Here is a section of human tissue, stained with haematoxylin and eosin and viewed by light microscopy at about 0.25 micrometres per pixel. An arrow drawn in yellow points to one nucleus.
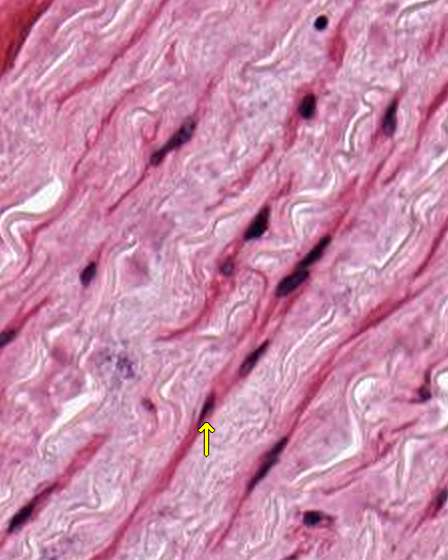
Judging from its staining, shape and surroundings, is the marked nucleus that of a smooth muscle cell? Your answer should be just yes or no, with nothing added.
yes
